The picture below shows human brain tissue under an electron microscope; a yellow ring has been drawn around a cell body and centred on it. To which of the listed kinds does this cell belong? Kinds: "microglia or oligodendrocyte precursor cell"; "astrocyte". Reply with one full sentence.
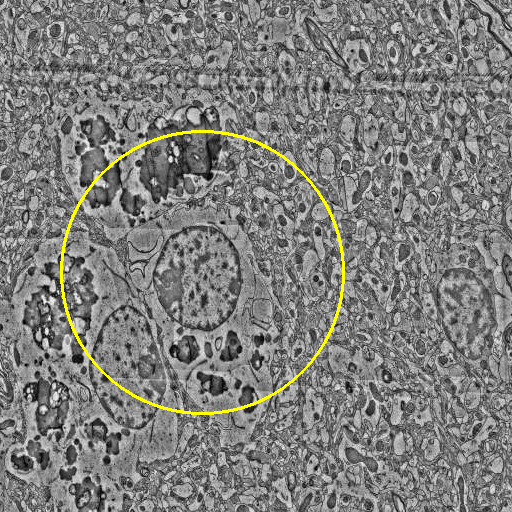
It is an astrocyte that the yellow ring in the picture is centred on.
